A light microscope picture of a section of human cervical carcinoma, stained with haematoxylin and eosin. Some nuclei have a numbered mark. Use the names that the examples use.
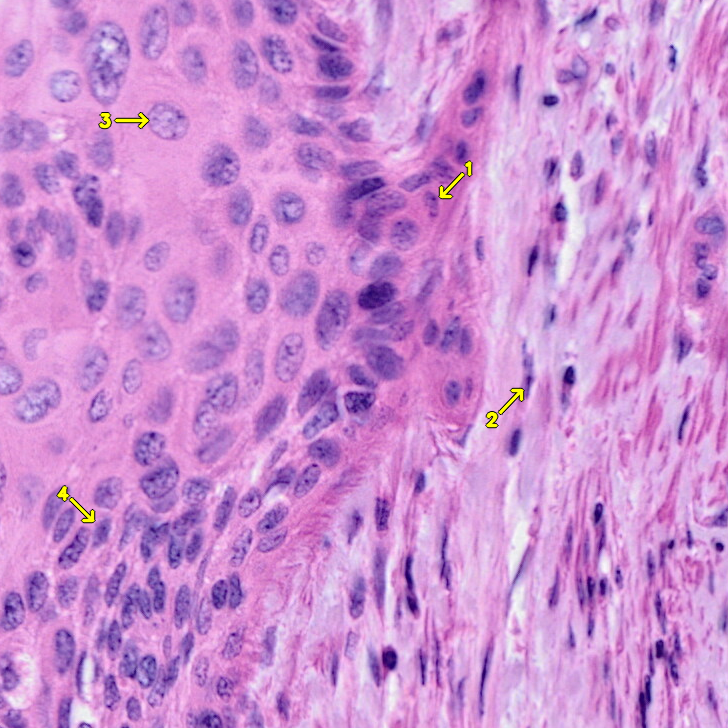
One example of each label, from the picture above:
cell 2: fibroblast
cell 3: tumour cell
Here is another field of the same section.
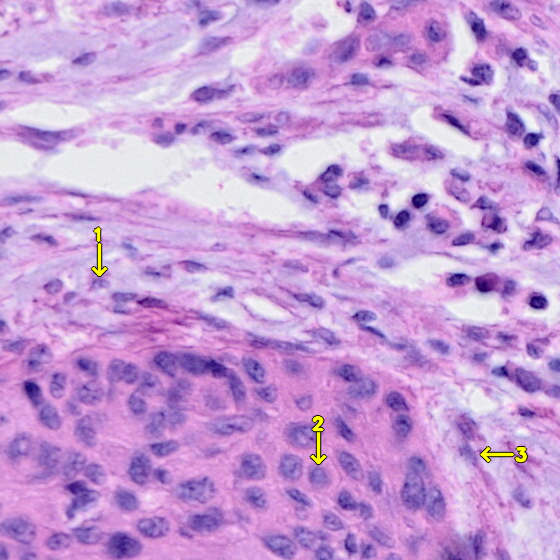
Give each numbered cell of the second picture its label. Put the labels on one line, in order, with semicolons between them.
fibroblast; tumour cell; fibroblast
